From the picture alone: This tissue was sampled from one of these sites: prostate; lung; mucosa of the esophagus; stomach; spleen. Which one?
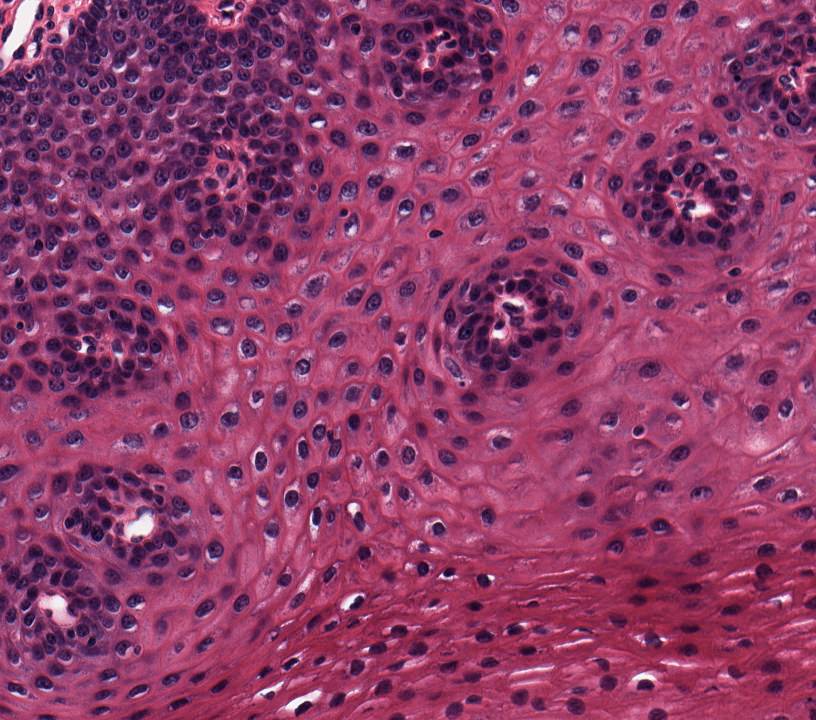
mucosa of the esophagus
